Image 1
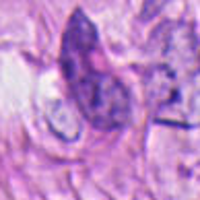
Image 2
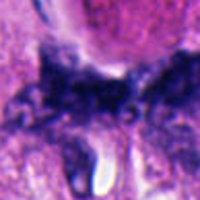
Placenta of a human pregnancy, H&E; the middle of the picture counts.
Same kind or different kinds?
Different: the first is a cytotrophoblast, the second a syncytial knot.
